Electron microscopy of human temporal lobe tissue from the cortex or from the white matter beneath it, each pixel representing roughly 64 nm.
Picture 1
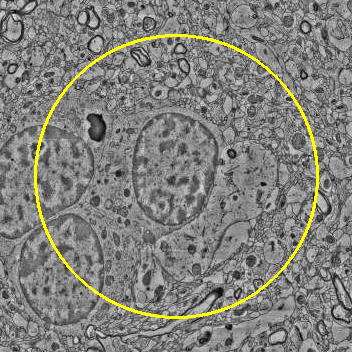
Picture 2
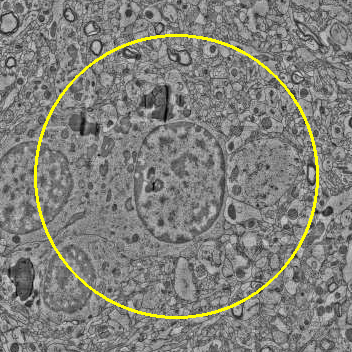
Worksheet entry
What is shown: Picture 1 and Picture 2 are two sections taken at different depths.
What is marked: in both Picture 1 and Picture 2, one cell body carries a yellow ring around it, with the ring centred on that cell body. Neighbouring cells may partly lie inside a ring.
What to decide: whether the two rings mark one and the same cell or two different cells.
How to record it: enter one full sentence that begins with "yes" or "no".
Yes, the two marked outlines come from one and the same cell.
